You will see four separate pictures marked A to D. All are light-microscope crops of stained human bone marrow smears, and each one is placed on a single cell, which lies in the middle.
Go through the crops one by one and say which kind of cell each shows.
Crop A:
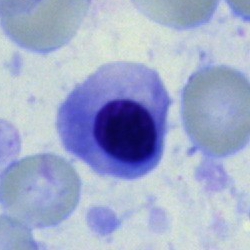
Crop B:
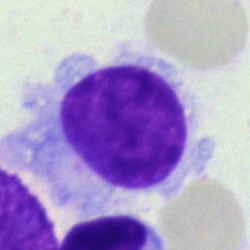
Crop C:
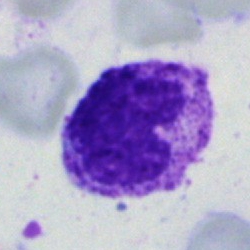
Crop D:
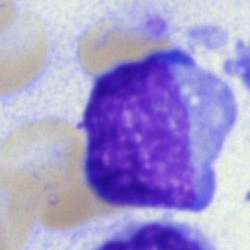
A: normoblast
B: hairy cell
C: metamyelocyte
D: blast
